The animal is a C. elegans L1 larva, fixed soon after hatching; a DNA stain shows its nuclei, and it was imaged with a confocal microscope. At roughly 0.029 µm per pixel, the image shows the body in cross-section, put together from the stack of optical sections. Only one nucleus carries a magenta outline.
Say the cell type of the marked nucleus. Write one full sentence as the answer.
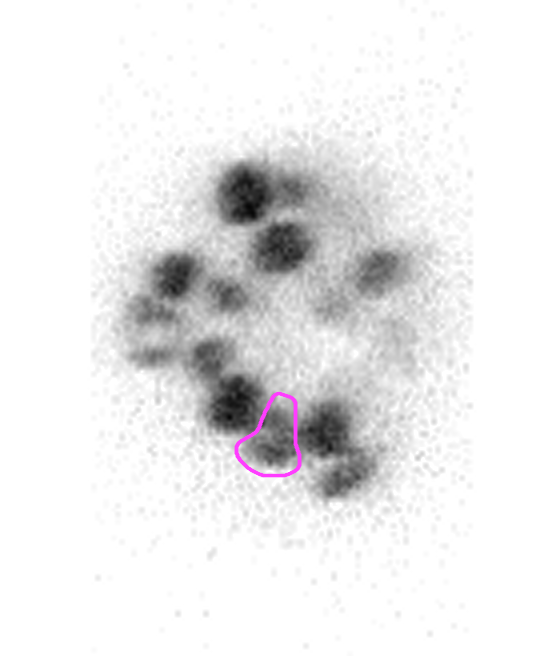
The cell with the marked nucleus is a pharyngeal muscle cell.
